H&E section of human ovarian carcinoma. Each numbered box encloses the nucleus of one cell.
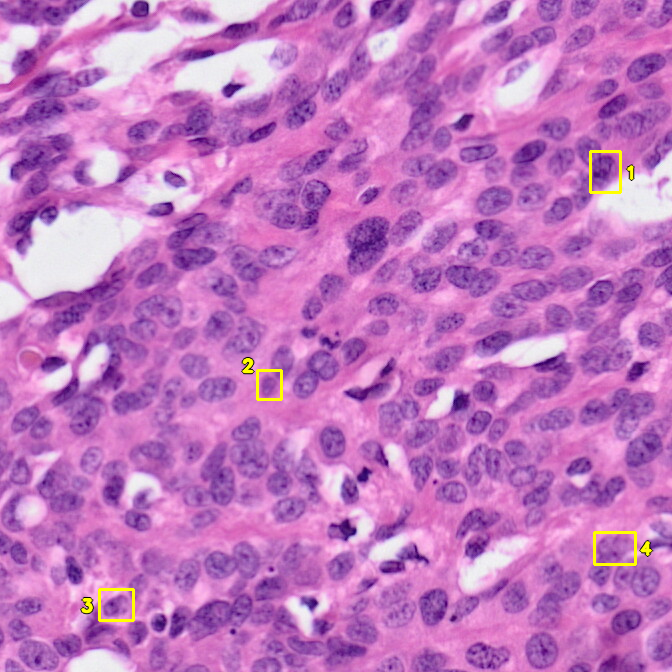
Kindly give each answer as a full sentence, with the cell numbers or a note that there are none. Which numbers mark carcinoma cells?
The cells numbered 1, 2 and 4 are of one kind: carcinoma cells.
